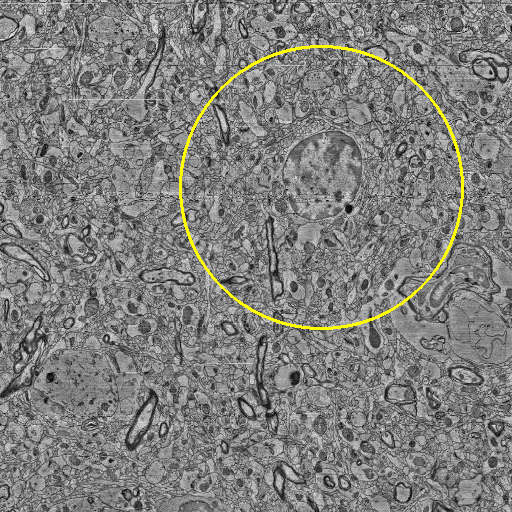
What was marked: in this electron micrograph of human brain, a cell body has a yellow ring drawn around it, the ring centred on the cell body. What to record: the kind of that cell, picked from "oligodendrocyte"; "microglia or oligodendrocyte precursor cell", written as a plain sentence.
The centred cell is a microglial cell or oligodendrocyte precursor cell.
